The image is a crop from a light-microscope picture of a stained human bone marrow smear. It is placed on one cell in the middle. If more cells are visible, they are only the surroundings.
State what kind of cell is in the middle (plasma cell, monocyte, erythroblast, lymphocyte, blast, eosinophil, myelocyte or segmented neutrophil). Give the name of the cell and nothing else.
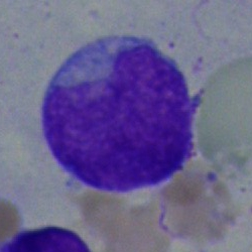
blast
